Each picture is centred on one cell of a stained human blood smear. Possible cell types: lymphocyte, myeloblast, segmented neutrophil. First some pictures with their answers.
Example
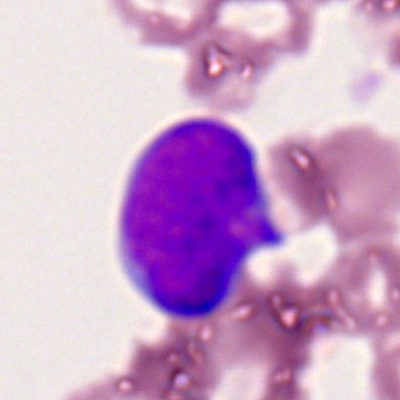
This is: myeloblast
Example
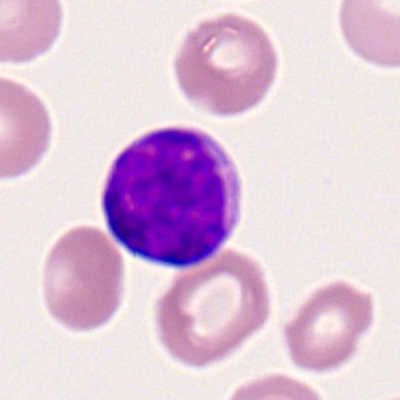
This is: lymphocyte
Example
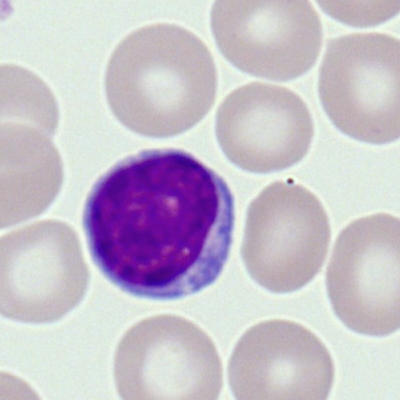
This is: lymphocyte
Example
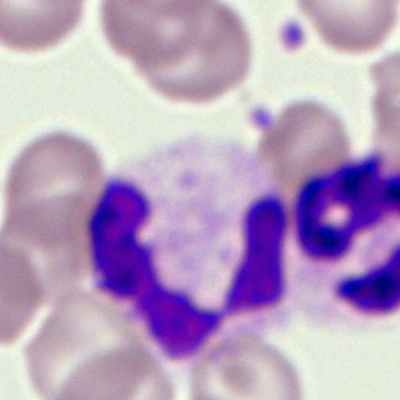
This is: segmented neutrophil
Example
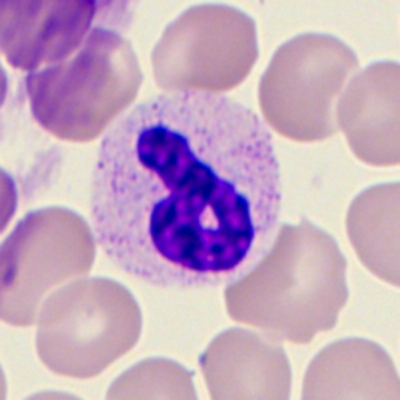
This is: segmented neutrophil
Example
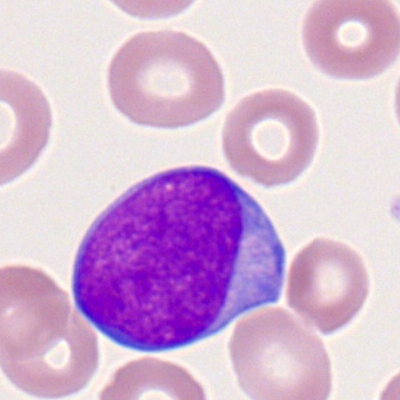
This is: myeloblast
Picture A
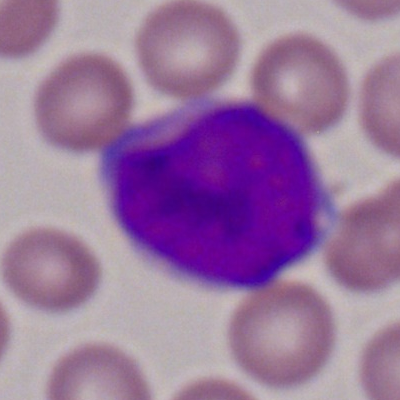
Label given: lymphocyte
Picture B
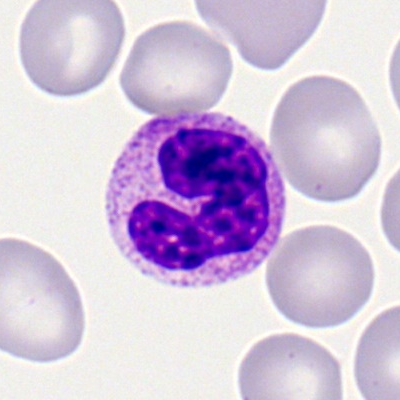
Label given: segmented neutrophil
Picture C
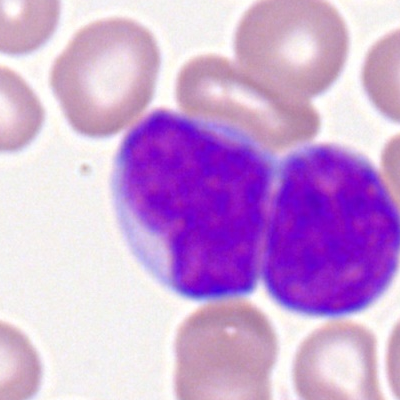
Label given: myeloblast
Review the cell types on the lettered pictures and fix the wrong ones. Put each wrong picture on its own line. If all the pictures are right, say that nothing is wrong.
A: change lymphocyte to myeloblast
